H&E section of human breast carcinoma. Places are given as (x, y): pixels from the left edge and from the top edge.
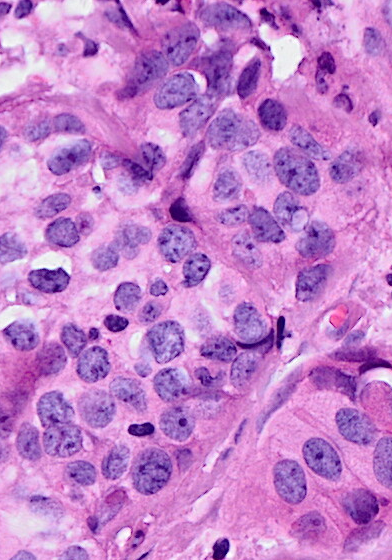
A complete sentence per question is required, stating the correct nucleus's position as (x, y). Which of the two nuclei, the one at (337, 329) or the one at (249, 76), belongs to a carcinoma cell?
The one nucleus of the two that belongs to a carcinoma cell is at (249, 76).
